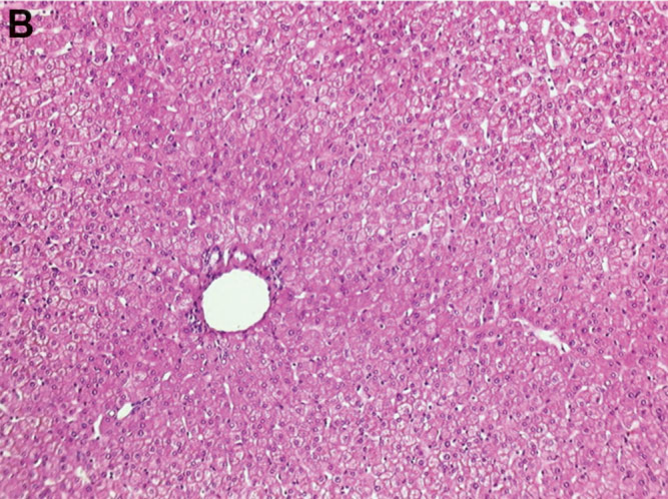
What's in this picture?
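This is liver, with hepatocytes forming plates of polygonal cells with pink cytoplasm and round nuclei, separated by narrow clear sinusoids. The lobular architecture looks orderly, and a round empty vessel with a few cells around it lies in the lower middle of the field.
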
